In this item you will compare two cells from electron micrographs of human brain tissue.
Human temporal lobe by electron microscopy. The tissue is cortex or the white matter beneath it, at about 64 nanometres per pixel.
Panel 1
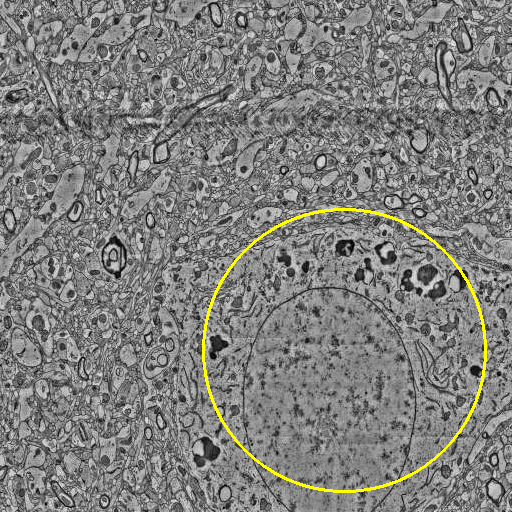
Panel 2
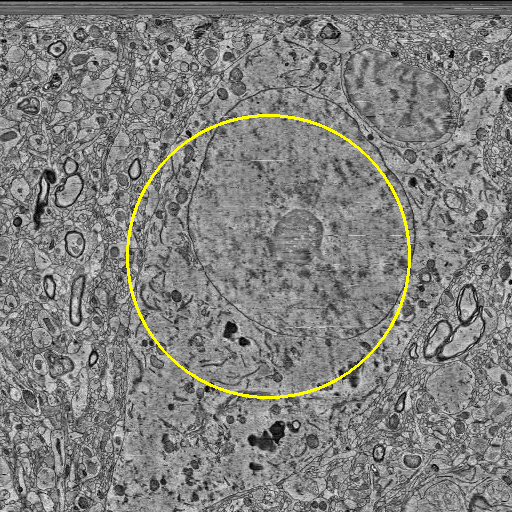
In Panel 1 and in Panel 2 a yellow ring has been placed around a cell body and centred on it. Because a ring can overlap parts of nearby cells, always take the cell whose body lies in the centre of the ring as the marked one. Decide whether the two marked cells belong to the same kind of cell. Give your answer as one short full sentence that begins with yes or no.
Yes, the two marked cells belong to the same kind of cell.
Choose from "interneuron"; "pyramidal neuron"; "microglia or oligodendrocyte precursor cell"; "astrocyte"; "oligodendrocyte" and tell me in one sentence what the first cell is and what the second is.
The cell in the first picture is a pyramidal neuron, and so is the one in the second.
